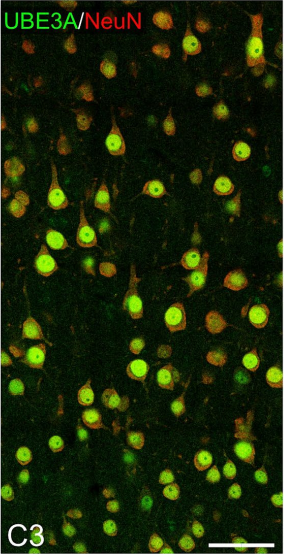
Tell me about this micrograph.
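This is cerebral cortex with numerous neurons scattered singly through a dark neuropil. Many cell bodies are triangular or pyramidal, their red-stained cytoplasm tapering into a thick process that runs toward one side of the field, while others are rounder. Each soma holds a large, round nucleus that glows bright yellow-green, much brighter than the surrounding cytoplasm, and many nuclei show a small dark dot, the nucleolus. The red label fills the cytoplasm and the bases of the processes, so nearly every red cell body carries a bright green nucleus. The cells are fairly evenly spaced without forming clusters.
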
